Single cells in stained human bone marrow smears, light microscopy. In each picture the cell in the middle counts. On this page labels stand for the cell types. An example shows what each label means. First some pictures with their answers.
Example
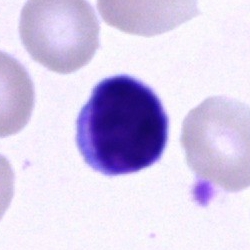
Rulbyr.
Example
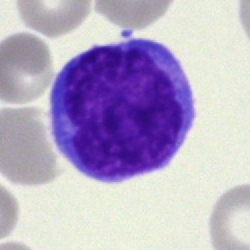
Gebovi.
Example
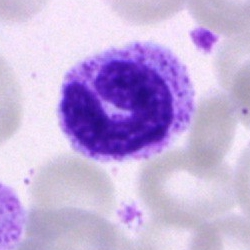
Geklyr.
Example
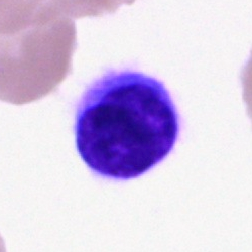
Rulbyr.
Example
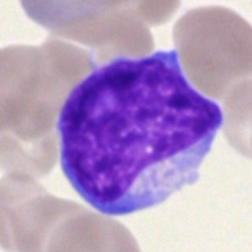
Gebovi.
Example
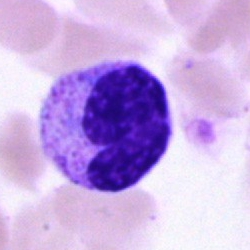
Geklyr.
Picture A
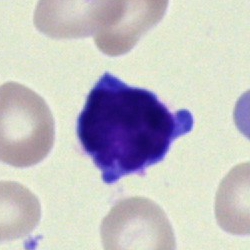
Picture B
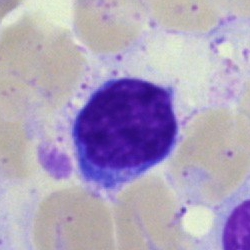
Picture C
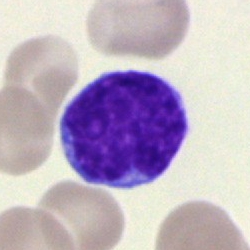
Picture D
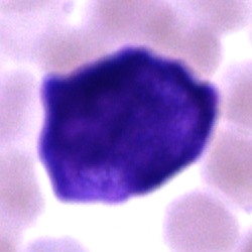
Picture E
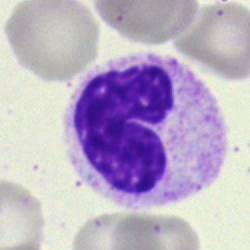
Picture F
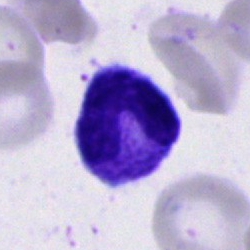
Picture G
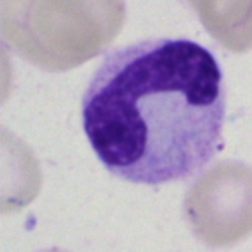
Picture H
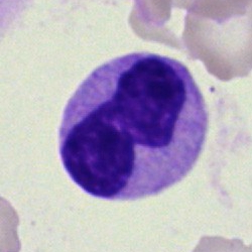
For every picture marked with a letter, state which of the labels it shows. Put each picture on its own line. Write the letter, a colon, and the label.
A: Rulbyr.
B: Rulbyr.
C: Rulbyr.
D: Gebovi.
E: Geklyr.
F: Geklyr.
G: Geklyr.
H: Geklyr.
